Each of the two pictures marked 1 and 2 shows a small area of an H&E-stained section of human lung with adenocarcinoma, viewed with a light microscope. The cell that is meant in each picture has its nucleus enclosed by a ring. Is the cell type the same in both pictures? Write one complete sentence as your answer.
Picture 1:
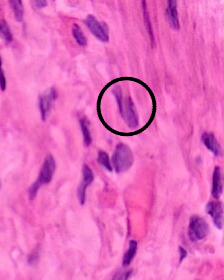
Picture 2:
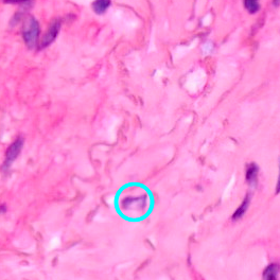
Yes, they are the same type: both are fibroblasts.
